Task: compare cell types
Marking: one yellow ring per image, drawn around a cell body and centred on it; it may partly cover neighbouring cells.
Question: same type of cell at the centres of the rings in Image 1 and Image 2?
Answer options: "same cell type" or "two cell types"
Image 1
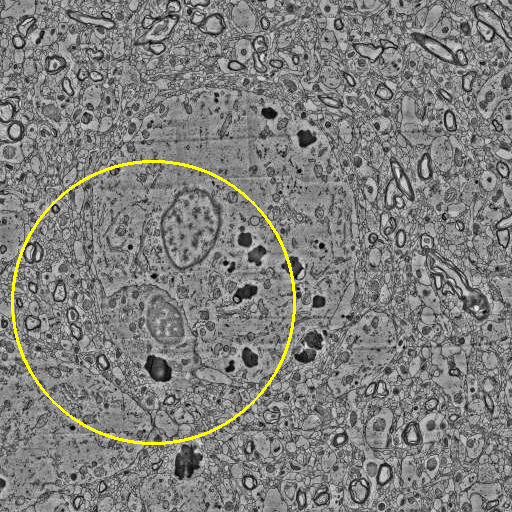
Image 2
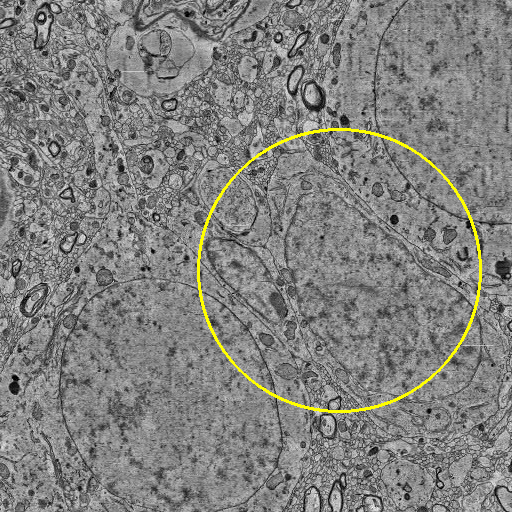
two cell types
